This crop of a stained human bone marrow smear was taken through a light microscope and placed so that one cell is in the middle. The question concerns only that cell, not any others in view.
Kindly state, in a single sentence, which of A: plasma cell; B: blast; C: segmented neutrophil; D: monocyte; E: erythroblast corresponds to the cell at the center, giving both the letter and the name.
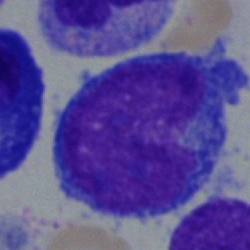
The right choice is option B: the cell in the middle is a blast.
